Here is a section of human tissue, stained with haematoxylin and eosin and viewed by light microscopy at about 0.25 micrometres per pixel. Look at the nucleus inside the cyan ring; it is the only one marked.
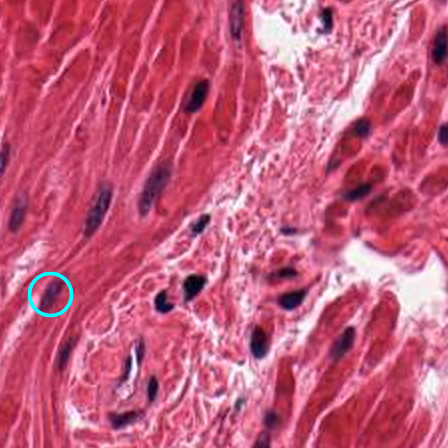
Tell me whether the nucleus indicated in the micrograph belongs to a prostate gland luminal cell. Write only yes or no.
no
